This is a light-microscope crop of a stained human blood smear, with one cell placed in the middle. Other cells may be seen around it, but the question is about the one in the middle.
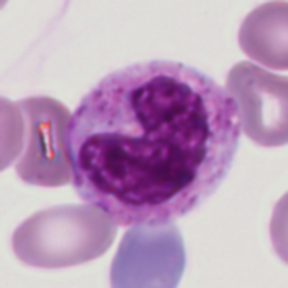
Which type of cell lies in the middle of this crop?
metamyelocyte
